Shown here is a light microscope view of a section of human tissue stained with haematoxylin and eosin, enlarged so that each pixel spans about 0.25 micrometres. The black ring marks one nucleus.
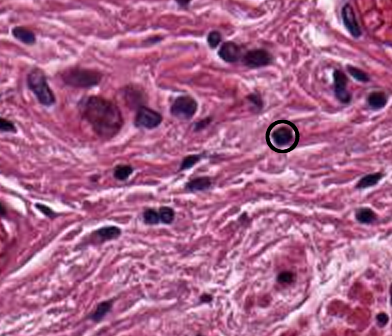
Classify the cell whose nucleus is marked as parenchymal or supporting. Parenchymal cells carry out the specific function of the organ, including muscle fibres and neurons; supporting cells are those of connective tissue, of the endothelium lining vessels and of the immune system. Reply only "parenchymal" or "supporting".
supporting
